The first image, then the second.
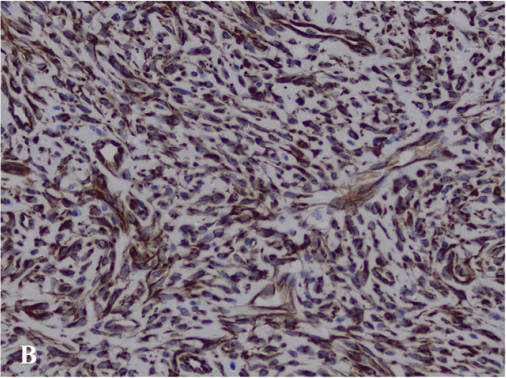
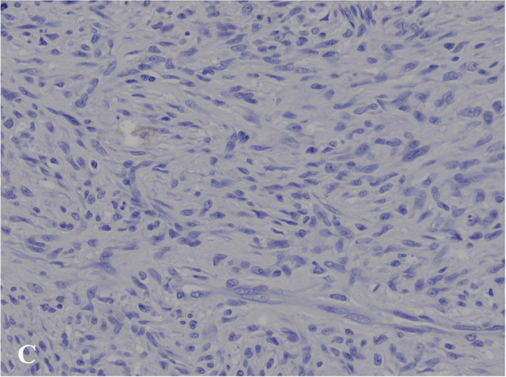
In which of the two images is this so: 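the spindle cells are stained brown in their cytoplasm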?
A: The first image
